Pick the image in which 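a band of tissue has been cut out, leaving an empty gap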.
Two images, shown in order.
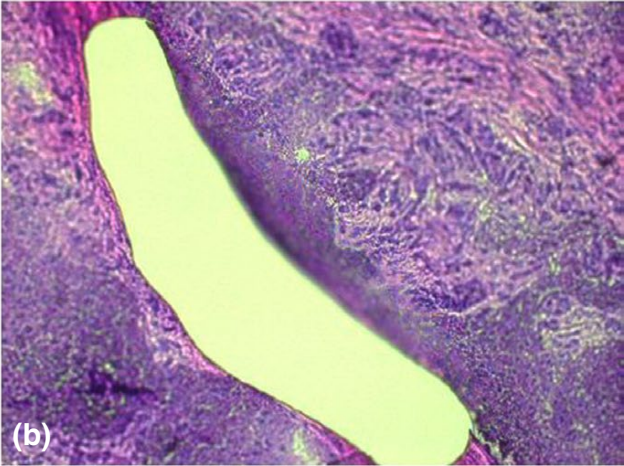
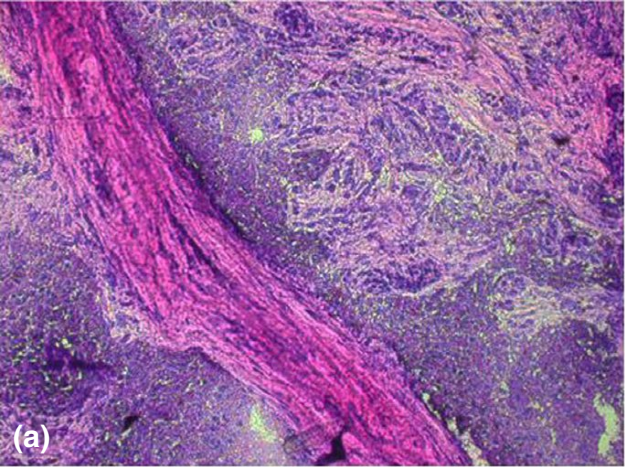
The first image.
